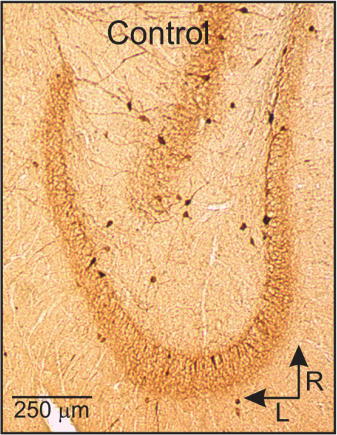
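This section of the dentate gyrus shows scattered dark brown interneurons set among the densely packed granule cell layer and the hilus. The granule cell layer forms a thick U-shaped band of small, closely packed, lightly stained cells. It encloses the paler, sparsely cellular hilus. The darkly stained cell bodies are few and send out thin processes; most lie along the inner edge of the granule cell band or within the hilus, against a pale tan background threaded with fine brown fibres.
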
